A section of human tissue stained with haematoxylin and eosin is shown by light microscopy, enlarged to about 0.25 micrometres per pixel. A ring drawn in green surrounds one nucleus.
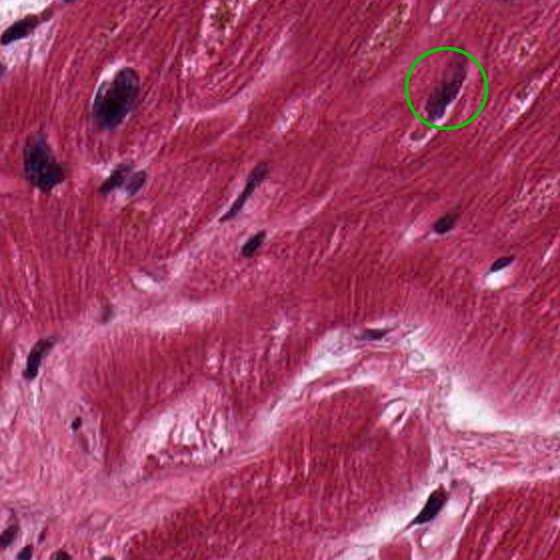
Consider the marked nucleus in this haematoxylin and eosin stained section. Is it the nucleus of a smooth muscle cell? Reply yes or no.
no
